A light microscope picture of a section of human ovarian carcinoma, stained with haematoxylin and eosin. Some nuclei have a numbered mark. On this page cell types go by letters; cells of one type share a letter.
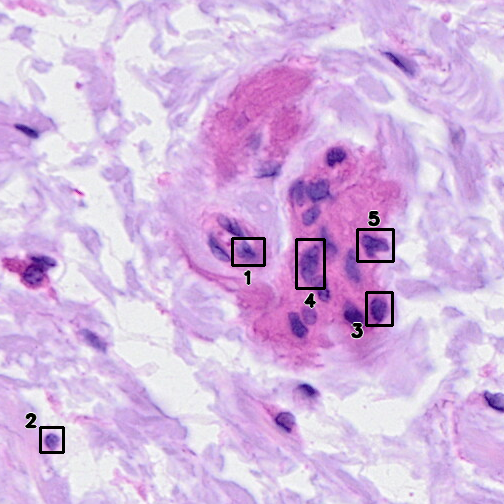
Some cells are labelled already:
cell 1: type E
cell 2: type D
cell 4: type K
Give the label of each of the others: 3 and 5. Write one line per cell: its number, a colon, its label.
3: type K
5: type K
